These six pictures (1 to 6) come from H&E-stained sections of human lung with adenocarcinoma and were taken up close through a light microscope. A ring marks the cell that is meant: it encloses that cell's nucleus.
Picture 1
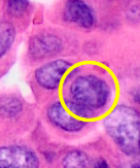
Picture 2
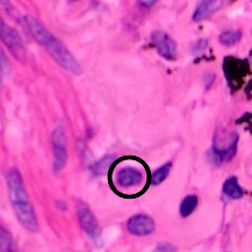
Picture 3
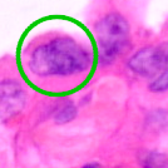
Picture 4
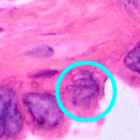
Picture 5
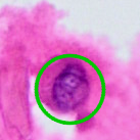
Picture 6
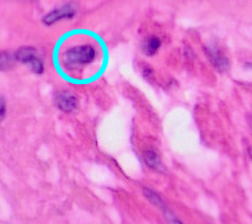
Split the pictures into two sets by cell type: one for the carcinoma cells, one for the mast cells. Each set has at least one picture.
1: carcinoma cell
2: mast cell
3: carcinoma cell
4: carcinoma cell
5: carcinoma cell
6: mast cell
